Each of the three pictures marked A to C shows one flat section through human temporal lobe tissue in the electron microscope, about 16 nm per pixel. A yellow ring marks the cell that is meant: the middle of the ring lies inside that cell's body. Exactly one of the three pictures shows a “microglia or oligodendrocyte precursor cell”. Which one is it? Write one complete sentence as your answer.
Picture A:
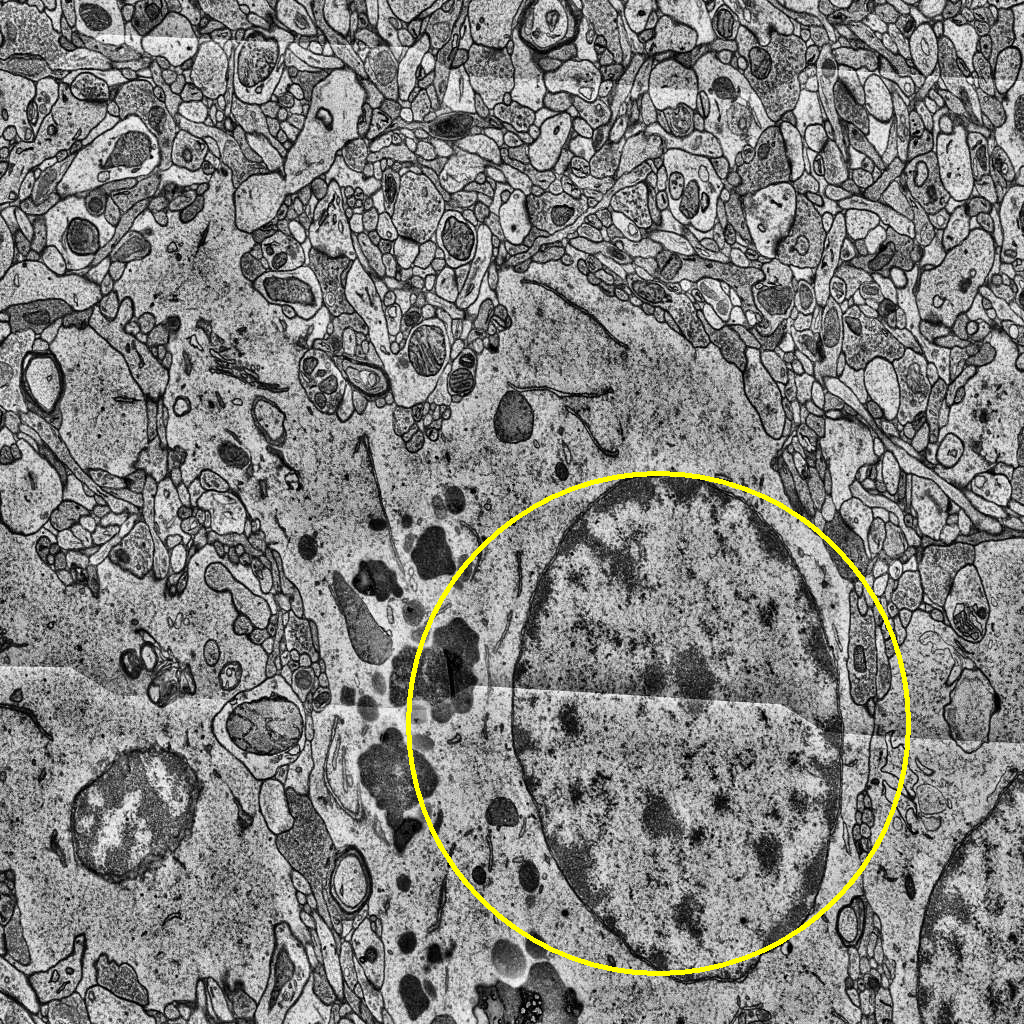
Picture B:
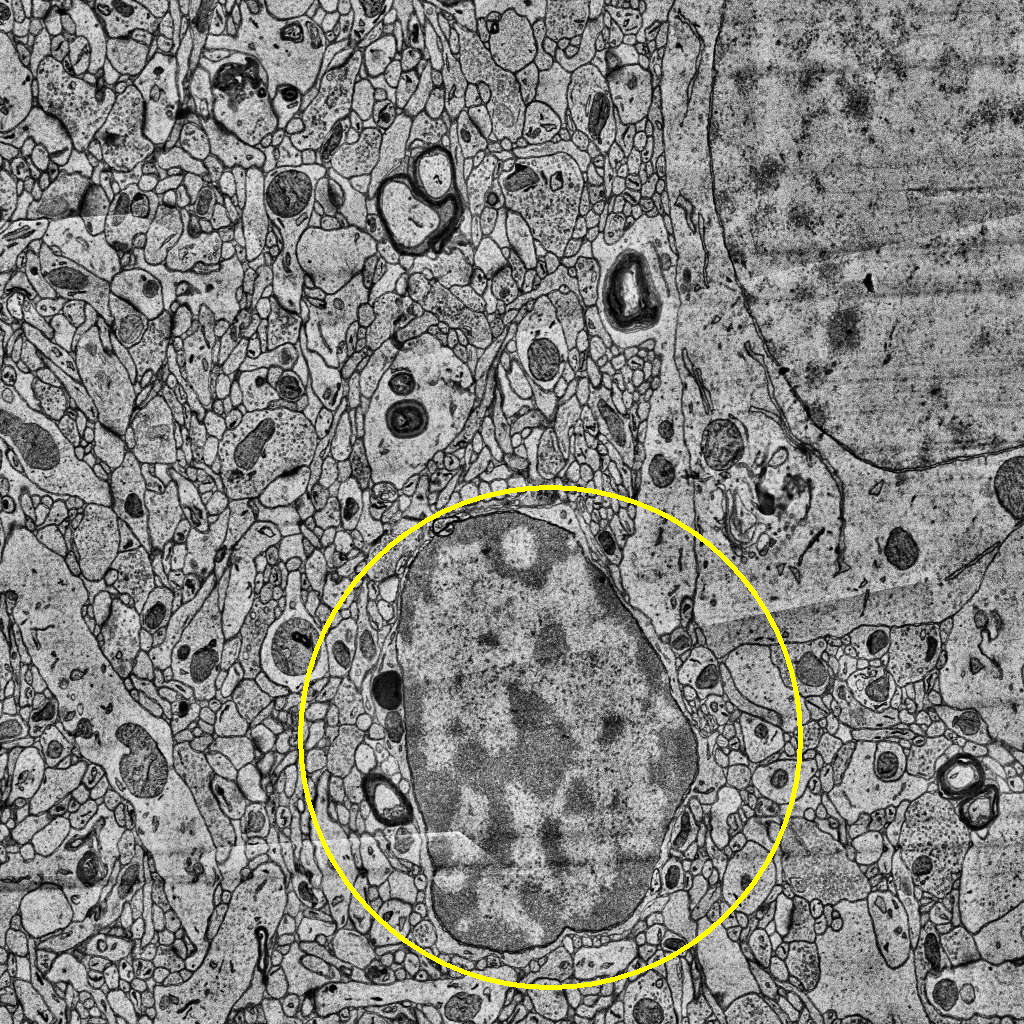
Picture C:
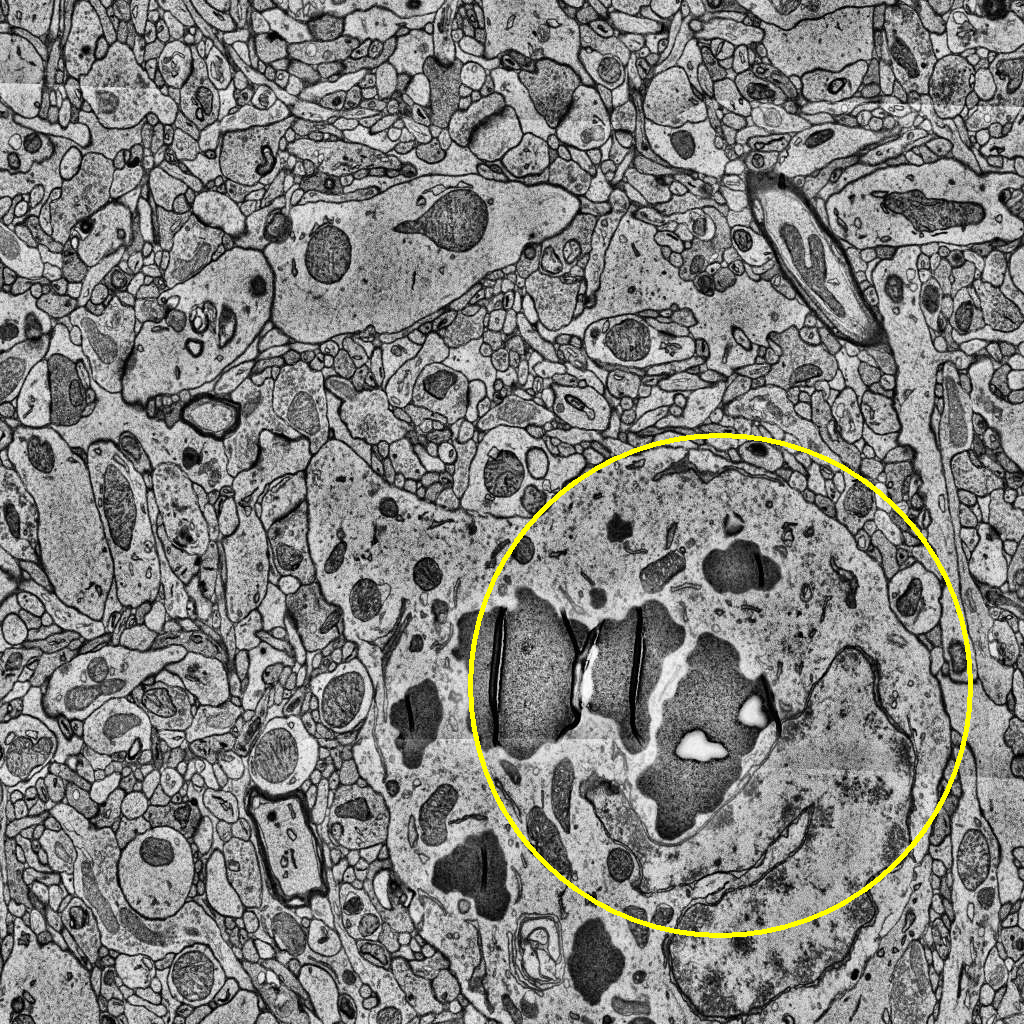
It is picture B that shows the “microglia or oligodendrocyte precursor cell”.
